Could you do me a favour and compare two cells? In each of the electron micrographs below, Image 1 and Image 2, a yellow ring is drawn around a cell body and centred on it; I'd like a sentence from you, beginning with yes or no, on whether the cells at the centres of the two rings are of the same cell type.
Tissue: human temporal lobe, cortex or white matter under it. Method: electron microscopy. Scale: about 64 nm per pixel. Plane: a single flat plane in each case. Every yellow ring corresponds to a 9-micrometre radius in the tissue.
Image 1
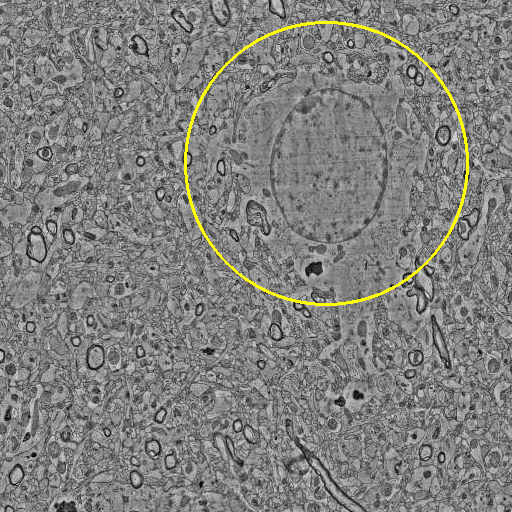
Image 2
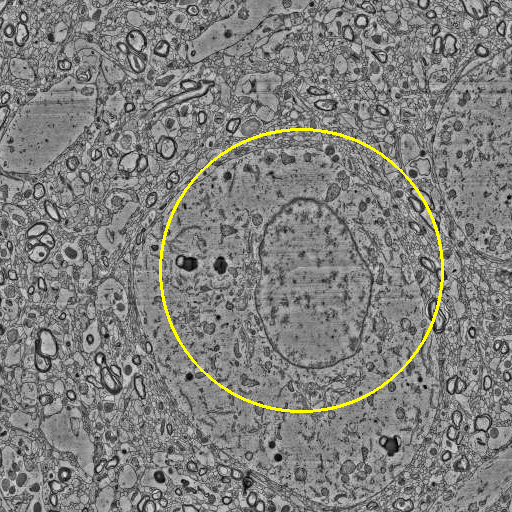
No, the two cells are of two cell types.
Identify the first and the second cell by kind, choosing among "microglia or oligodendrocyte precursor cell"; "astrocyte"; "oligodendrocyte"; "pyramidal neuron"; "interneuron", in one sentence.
The one in the first picture is an astrocyte, while the one in the second is a pyramidal neuron.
